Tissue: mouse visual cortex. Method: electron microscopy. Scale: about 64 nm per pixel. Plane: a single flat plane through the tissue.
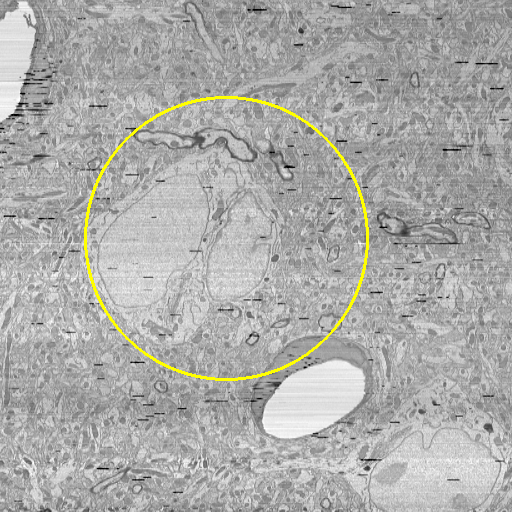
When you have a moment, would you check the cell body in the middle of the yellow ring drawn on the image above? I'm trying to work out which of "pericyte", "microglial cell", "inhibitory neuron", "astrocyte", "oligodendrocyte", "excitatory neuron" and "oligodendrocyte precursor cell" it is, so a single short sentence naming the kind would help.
This cell body belongs to an oligodendrocyte precursor cell.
